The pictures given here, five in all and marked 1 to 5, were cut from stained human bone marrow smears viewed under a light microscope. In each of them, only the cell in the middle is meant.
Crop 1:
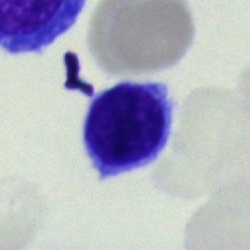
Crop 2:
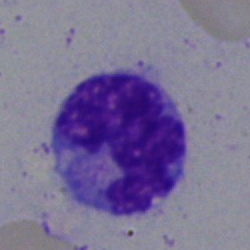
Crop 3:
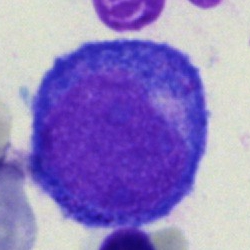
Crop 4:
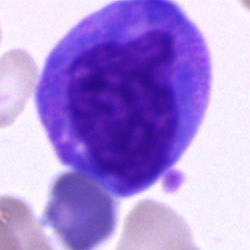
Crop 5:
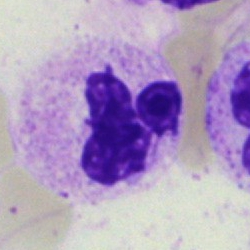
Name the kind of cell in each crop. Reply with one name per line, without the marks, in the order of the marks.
lymphocyte
monocyte
proerythroblast
monocyte
neutrophil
